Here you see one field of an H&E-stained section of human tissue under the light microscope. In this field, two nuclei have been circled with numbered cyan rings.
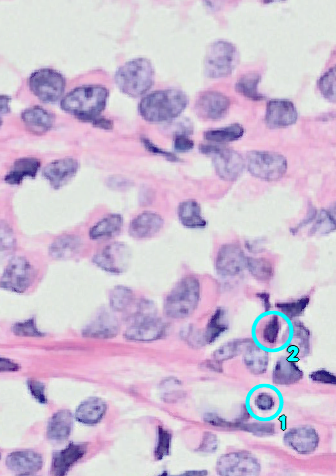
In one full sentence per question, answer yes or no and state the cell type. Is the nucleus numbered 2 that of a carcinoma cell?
Yes, the cell denoted by 2 is a carcinoma cell.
